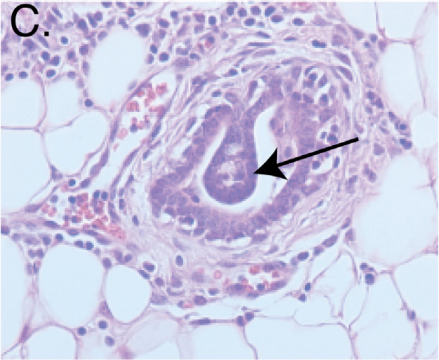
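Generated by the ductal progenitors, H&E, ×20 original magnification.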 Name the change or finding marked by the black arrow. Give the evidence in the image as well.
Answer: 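The duct epithelium is several cells thick. Epithelium projects into and narrows the lumen where the arrow points. The duct is surrounded by a cuff of fibrous stroma within fat. So: Intraductal papillary hyperplasia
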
